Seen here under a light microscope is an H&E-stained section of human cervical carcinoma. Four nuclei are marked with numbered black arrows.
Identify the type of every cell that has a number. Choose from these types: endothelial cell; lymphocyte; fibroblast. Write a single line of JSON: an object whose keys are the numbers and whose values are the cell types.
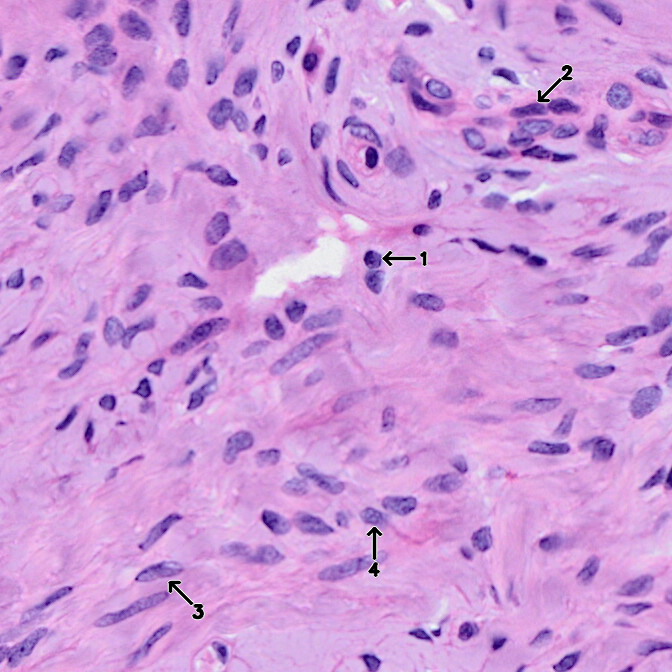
{"1": "lymphocyte", "2": "endothelial cell", "3": "fibroblast", "4": "fibroblast"}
